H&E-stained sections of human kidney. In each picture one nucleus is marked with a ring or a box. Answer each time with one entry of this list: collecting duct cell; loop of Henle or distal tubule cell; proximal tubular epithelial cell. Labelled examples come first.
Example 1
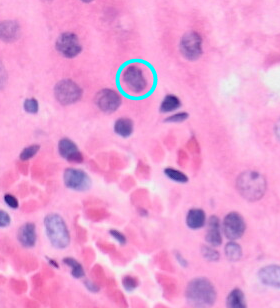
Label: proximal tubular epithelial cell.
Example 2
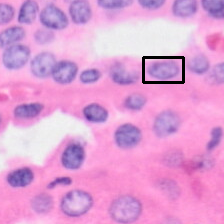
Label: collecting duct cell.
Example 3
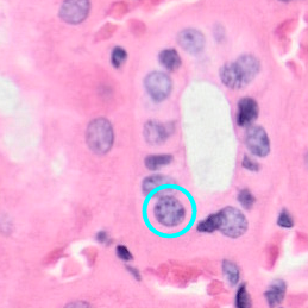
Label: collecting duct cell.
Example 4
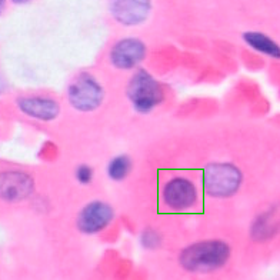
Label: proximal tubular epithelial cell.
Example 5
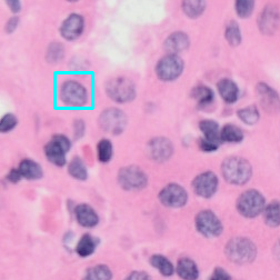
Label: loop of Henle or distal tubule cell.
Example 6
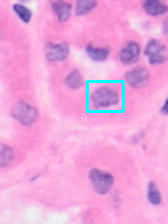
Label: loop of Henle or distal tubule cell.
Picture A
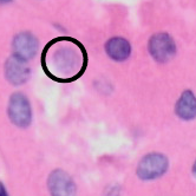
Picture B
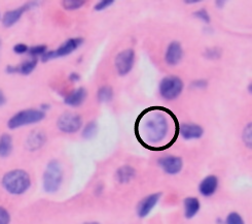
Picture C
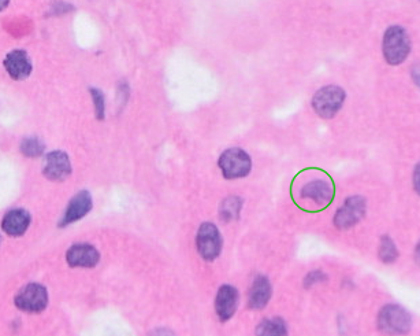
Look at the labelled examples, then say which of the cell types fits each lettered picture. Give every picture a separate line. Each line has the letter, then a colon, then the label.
A: loop of Henle or distal tubule cell.
B: loop of Henle or distal tubule cell.
C: proximal tubular epithelial cell.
